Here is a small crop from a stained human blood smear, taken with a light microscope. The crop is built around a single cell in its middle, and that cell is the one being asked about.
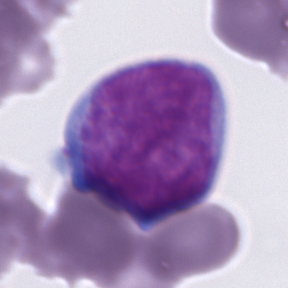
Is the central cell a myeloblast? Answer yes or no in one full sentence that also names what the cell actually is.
Yes, the cell in the middle is recognised as a myeloblast.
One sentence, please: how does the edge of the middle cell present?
The margin of this cell is irregular, showing raggedness or projections instead of smoothness.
